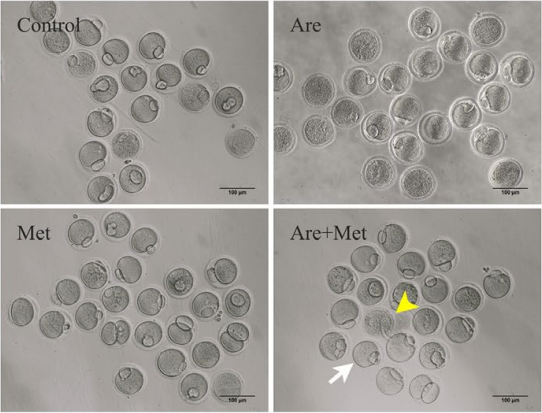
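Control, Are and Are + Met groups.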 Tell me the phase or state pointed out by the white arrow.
Oocyte with the first polar body.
